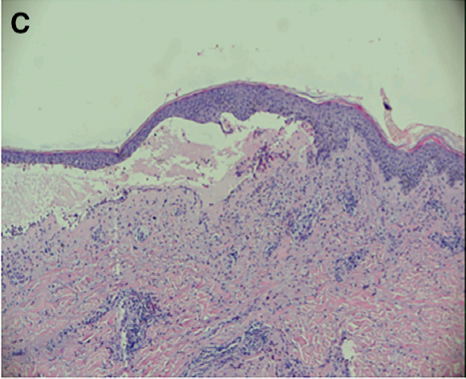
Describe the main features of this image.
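A purple-staining stratified squamous epidermis, topped by a thin pink cornified layer, is lifted as a whole from the underlying dermis. The blister cavity sits directly beneath the epidermis. It holds pale pink, fluid-like material with a few scattered cells. The dermis is made of pink collagen bundles. It carries patchy dense collections of small purple-staining inflammatory cells, both just beneath the blister and in clusters around vessels deeper in the dermis.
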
